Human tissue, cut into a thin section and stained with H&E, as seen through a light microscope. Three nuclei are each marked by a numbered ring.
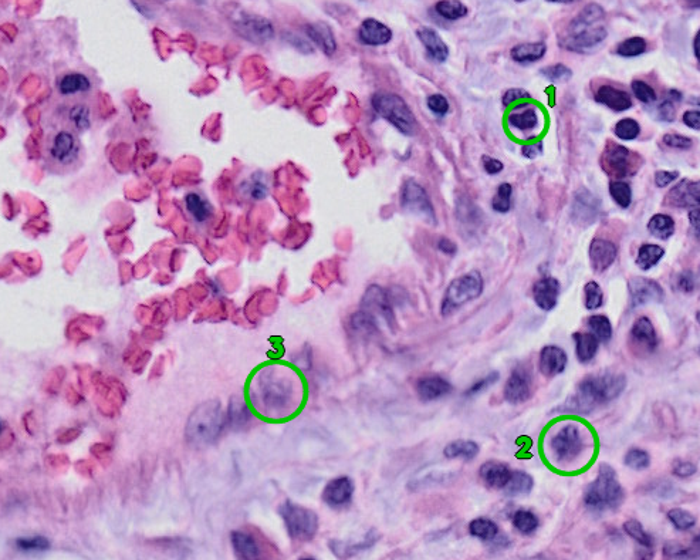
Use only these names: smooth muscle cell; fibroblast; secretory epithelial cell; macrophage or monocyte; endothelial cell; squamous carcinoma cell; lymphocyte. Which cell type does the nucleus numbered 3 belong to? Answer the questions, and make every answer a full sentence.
The nucleus marked 3 is the nucleus of an endothelial cell.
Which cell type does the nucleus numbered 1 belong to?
The cell indicated with the number 1 is classed as a lymphocyte.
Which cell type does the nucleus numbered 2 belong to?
Nucleus 2 in this section belongs to a lymphocyte.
